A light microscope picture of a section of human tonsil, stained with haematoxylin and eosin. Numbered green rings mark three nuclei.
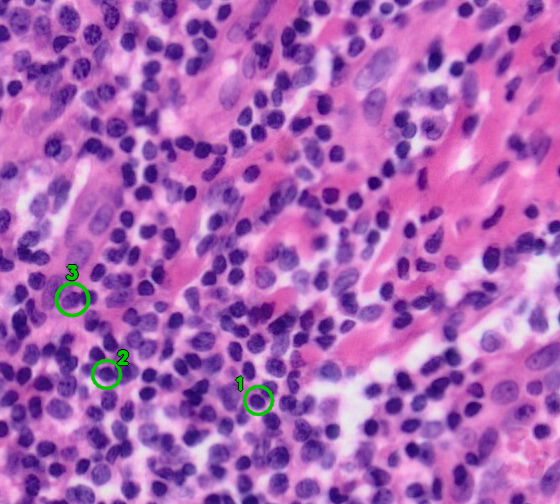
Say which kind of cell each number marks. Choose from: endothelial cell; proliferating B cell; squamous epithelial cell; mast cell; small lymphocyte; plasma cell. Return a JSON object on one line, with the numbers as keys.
{"1": "small lymphocyte", "2": "small lymphocyte", "3": "endothelial cell"}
